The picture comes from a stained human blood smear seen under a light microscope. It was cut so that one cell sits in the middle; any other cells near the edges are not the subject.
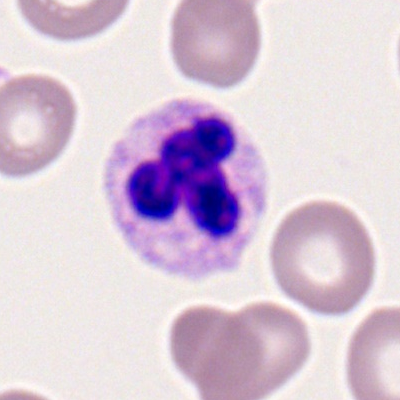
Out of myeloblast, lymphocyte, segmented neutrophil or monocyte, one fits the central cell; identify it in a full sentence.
The central element of this crop is a cell, namely a segmented neutrophil.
